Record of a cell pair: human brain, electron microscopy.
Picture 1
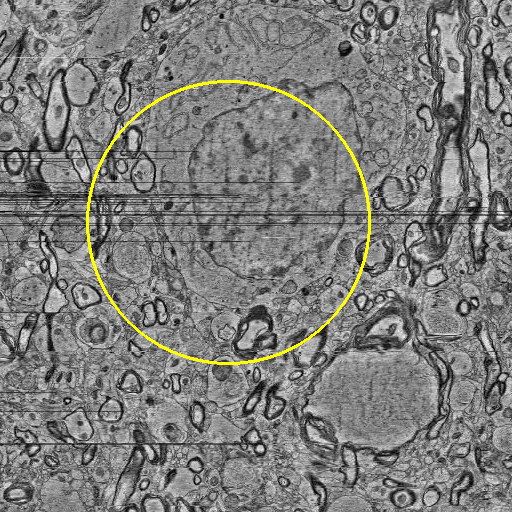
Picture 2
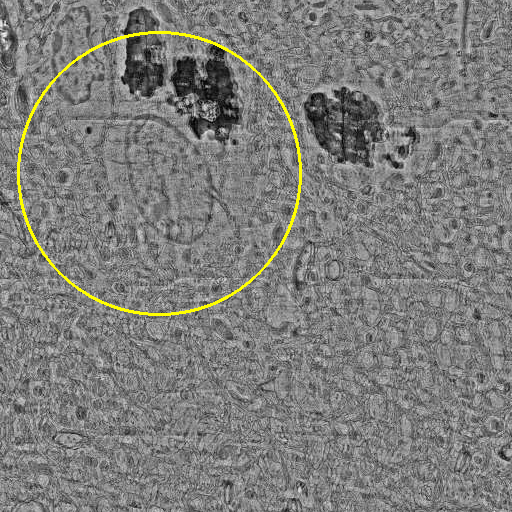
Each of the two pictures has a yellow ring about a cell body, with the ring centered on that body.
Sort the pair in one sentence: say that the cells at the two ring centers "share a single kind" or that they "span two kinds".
The cells centered in the rings of Pictures 1 and 2 span two kinds.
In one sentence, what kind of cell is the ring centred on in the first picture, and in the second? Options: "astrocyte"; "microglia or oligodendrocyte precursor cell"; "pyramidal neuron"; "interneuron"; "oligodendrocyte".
The cell at the centre of the second ring is an astrocyte; the first ring's cell is an interneuron.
